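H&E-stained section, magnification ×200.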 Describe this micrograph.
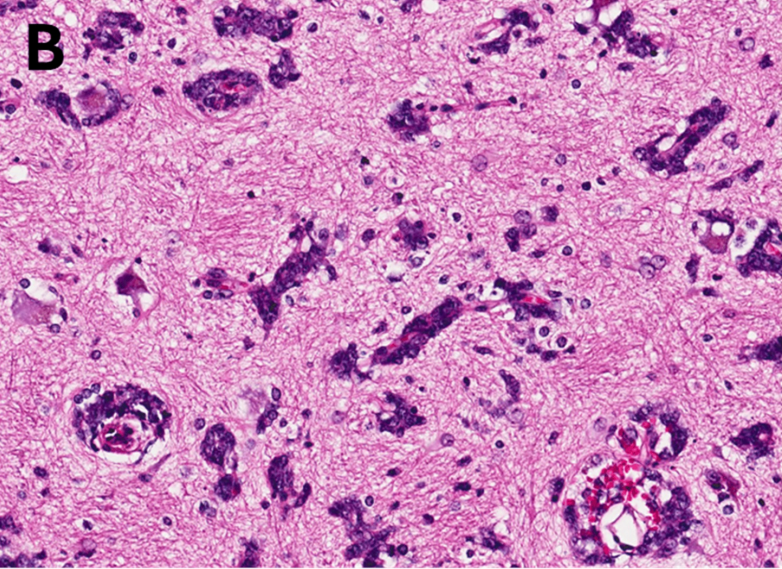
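Large, round atypical cells with dark purple, crowded nuclei gather in dense clusters around small blood vessels, forming cuffs around lumina that contain red blood cells. The clusters follow the course of the vessels, some elongated and branching, while the pink fibrillary background between them holds only scattered small nuclei. Cell density is high where the atypical cells gather, in contrast to the sparse background.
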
